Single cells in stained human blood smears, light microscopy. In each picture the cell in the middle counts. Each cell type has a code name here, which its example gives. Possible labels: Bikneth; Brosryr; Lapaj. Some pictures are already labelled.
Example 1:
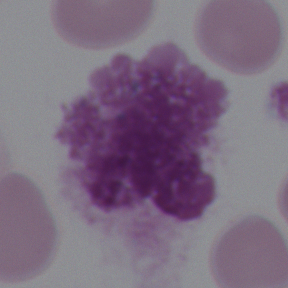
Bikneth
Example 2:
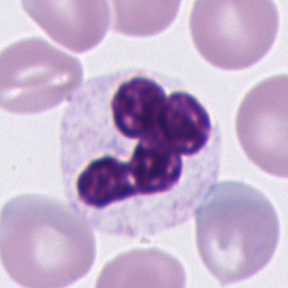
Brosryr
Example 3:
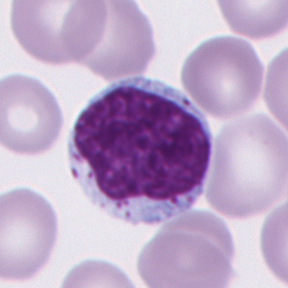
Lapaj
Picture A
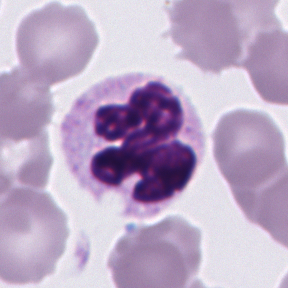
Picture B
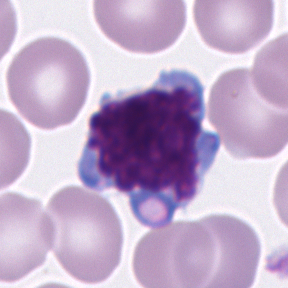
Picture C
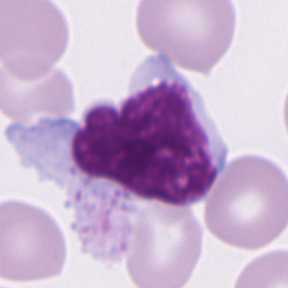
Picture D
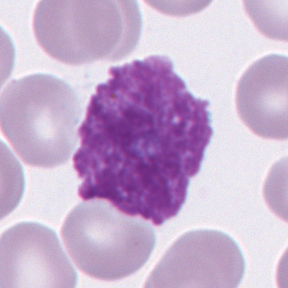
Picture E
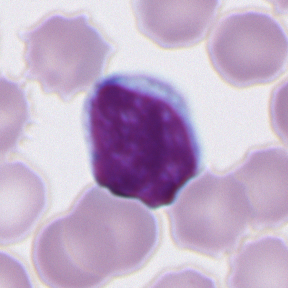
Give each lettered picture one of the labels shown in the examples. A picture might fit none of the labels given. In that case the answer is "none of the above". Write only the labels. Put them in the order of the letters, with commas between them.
Brosryr, none of the above, Lapaj, Bikneth, none of the above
